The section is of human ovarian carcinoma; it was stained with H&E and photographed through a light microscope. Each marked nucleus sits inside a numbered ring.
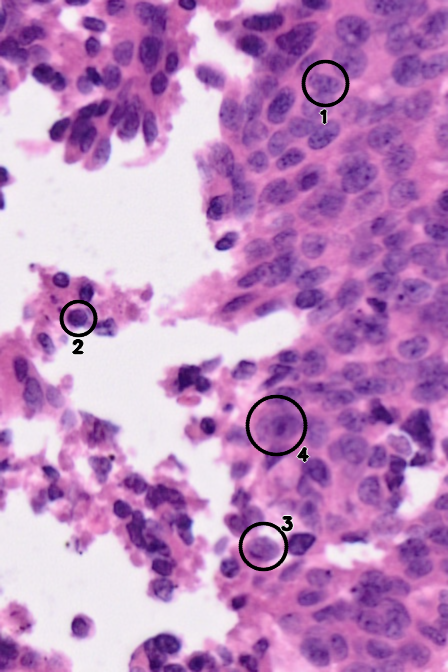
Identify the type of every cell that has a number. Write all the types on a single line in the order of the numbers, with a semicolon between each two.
carcinoma cell; macrophage or monocyte; carcinoma cell; carcinoma cell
